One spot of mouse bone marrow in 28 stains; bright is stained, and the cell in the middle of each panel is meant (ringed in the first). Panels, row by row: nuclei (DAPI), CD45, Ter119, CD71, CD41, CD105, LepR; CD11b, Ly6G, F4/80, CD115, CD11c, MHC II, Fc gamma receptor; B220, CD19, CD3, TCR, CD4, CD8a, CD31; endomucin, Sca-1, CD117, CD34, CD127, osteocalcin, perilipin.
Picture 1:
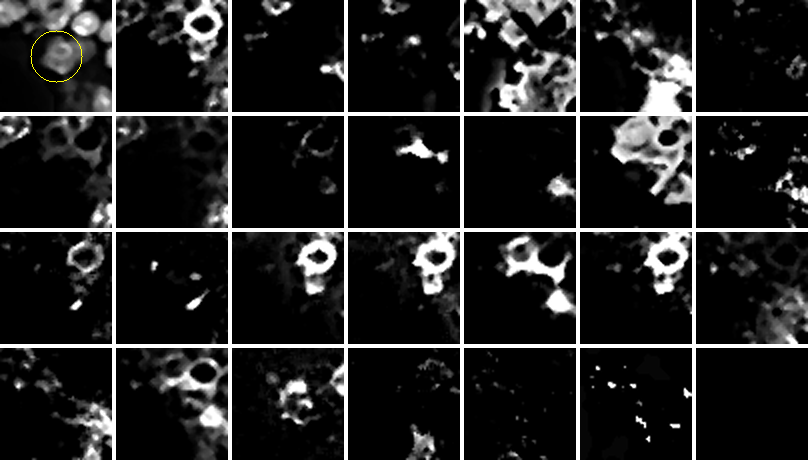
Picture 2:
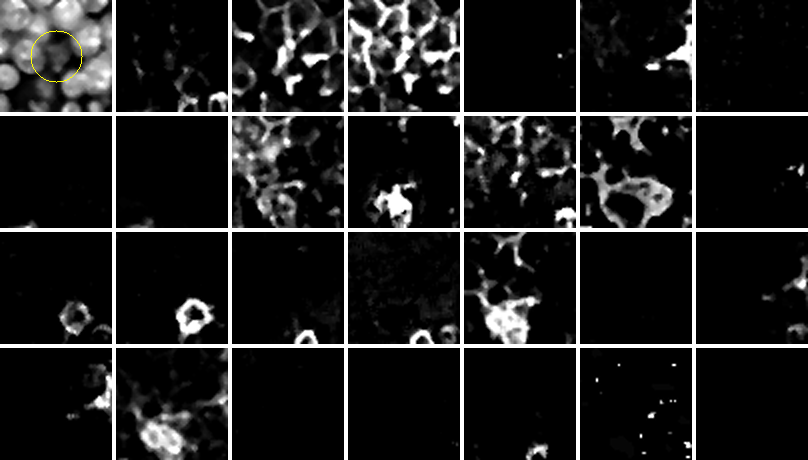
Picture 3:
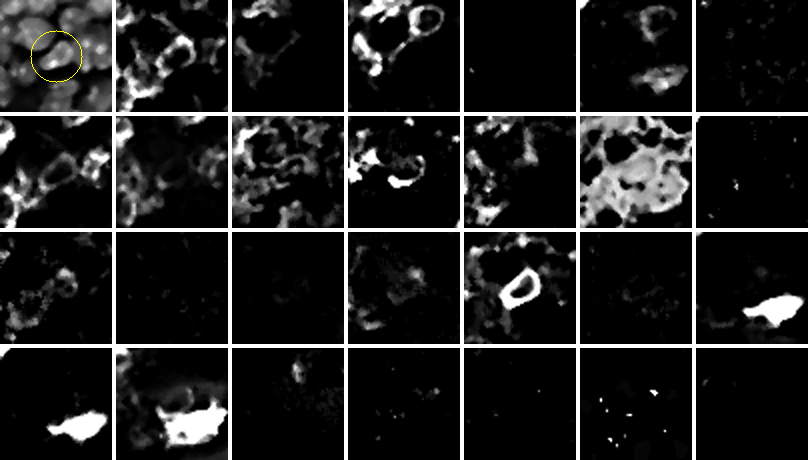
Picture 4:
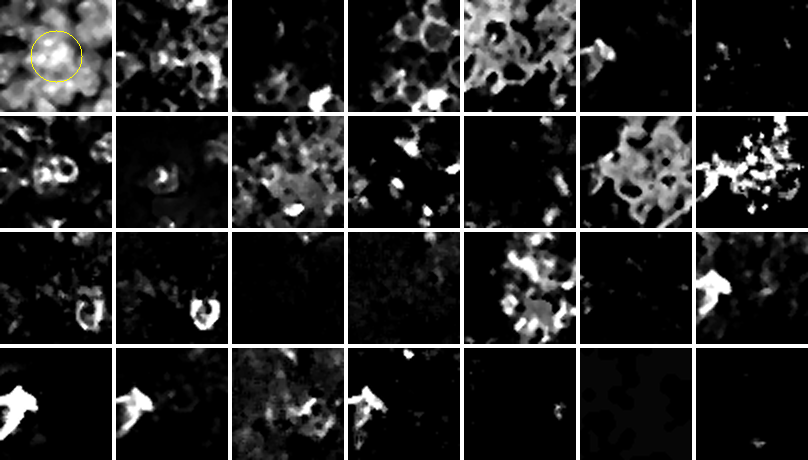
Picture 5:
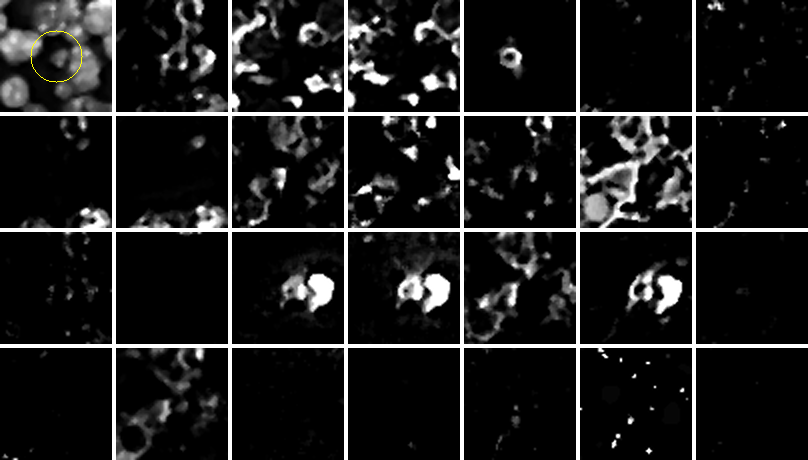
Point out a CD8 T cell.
That is picture 5.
